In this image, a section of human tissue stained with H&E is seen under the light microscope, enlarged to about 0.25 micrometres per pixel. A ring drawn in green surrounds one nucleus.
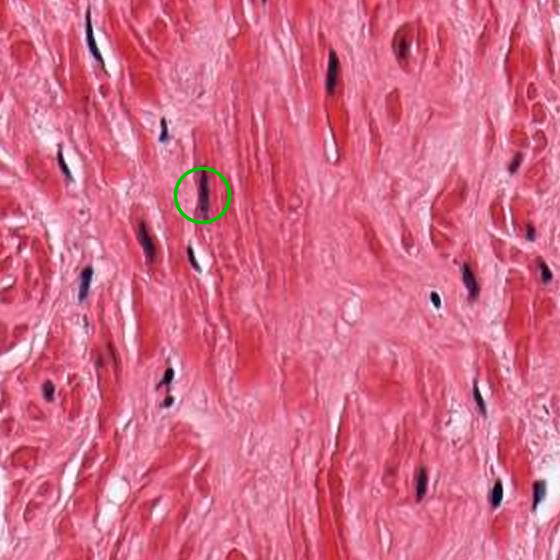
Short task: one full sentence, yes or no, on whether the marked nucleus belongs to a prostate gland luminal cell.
No, the marked nucleus is not contained in a prostate gland luminal cell.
